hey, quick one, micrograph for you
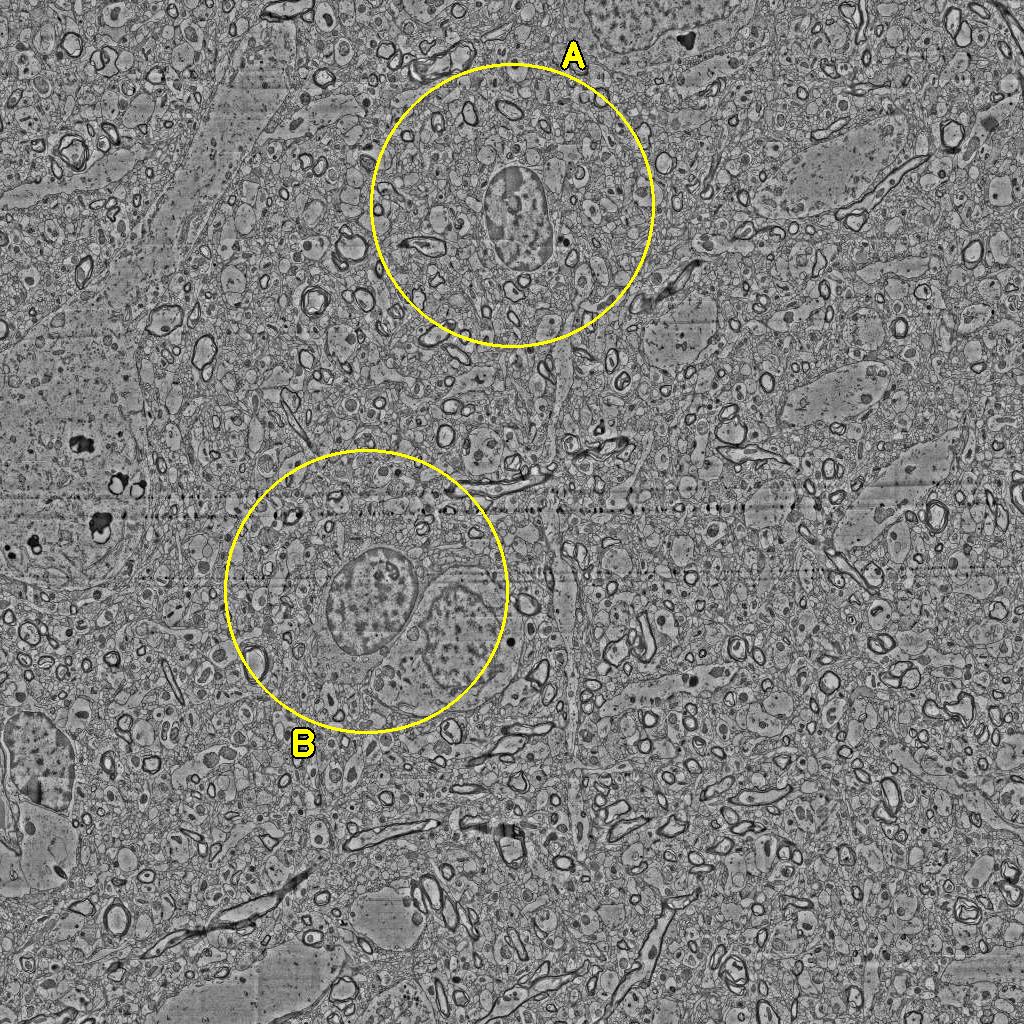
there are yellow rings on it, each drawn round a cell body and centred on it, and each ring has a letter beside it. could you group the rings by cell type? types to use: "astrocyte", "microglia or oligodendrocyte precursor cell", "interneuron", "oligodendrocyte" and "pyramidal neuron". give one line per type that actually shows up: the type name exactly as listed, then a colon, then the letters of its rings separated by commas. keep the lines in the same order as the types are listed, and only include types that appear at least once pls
microglia or oligodendrocyte precursor cell: A
oligodendrocyte: B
